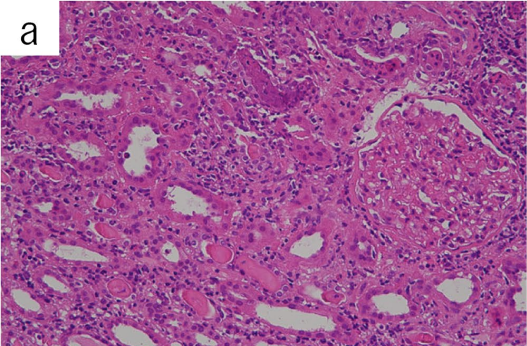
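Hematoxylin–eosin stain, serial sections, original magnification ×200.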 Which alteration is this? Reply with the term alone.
diffuse interstitial infiltration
